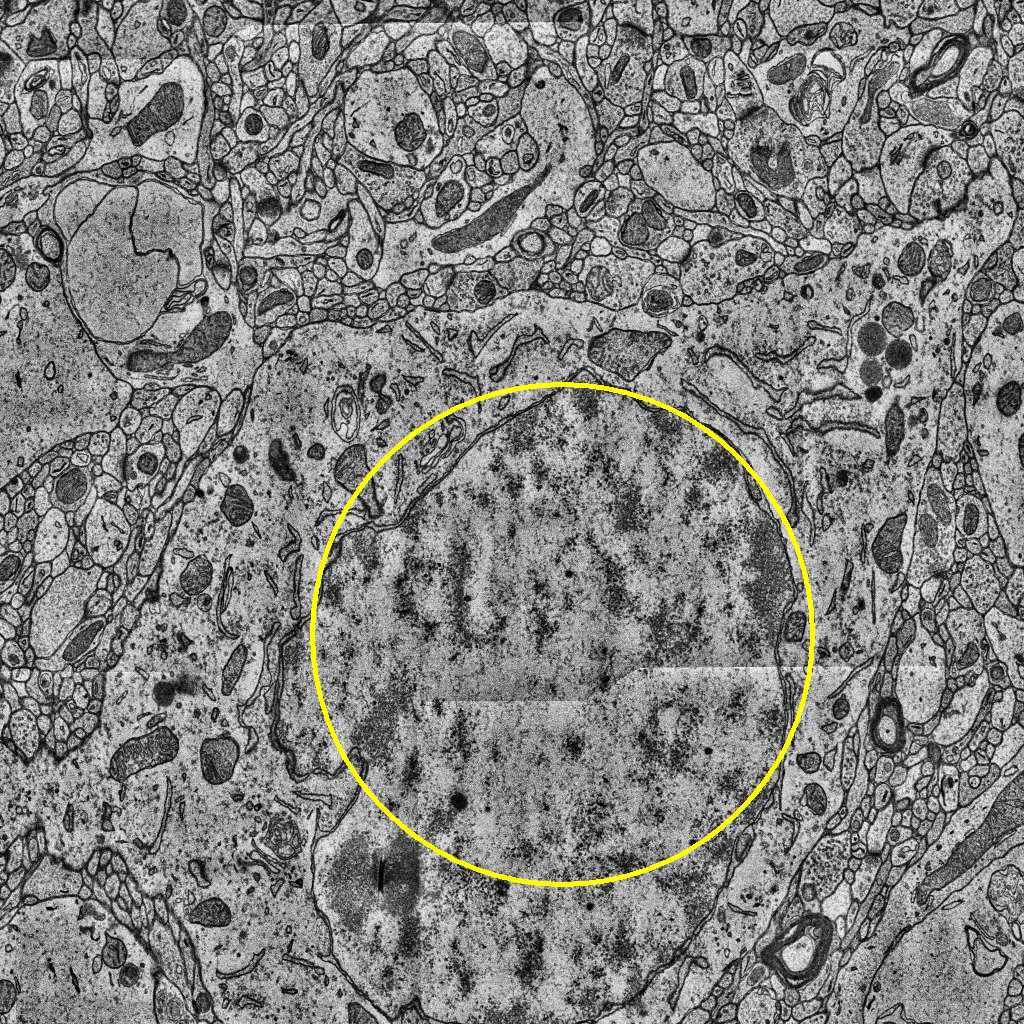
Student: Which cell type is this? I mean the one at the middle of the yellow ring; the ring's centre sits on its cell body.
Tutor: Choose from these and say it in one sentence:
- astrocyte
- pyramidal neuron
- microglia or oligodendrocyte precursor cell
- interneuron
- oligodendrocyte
The cell at the ring's centre is an interneuron.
